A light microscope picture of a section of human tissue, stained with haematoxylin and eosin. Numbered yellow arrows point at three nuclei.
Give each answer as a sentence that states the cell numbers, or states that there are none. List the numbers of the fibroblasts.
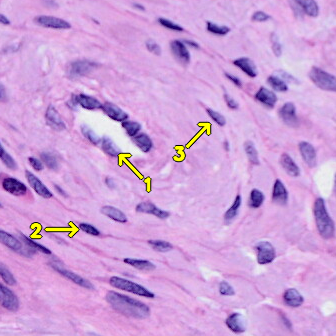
Cells 2 and 3 are classified as fibroblasts.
